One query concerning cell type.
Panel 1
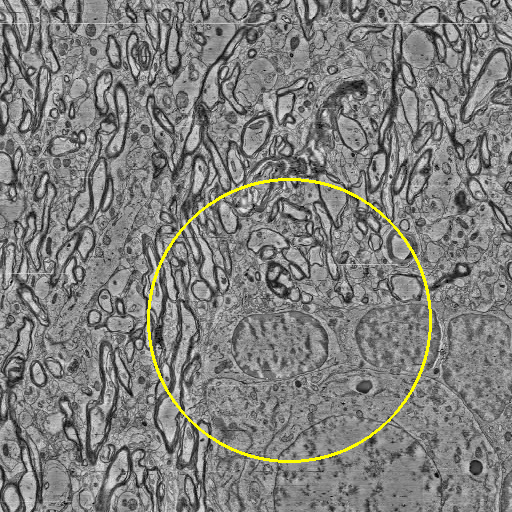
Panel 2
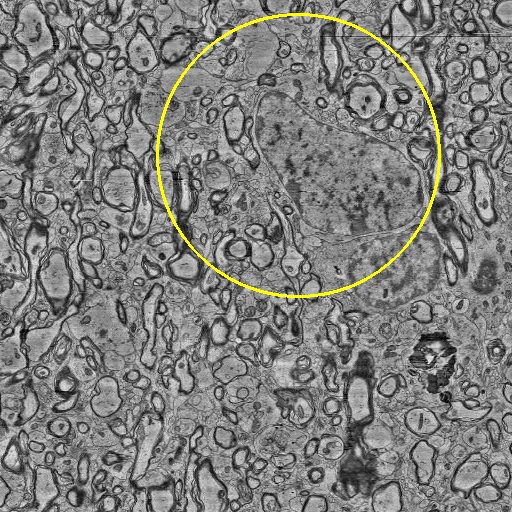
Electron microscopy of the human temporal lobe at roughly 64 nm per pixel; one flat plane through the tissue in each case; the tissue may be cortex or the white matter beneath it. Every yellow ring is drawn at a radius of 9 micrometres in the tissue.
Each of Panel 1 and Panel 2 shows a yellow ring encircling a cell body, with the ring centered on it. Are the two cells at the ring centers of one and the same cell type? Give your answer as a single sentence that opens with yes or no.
Yes, the cell centered in Panel 1 and the one in Panel 2 share a type.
